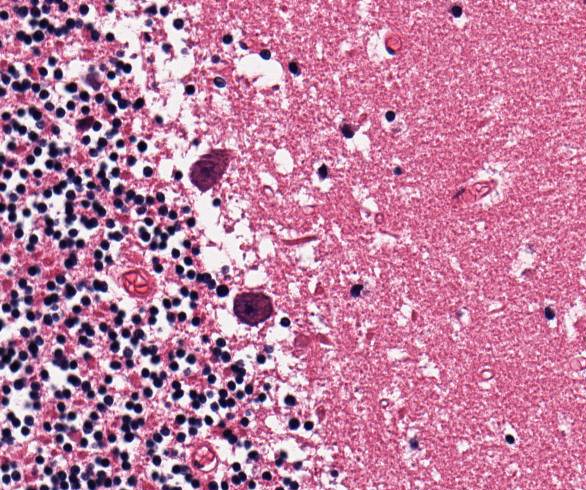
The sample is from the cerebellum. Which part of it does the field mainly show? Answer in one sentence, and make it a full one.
The part of the tissue imaged here is called molecular layer.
